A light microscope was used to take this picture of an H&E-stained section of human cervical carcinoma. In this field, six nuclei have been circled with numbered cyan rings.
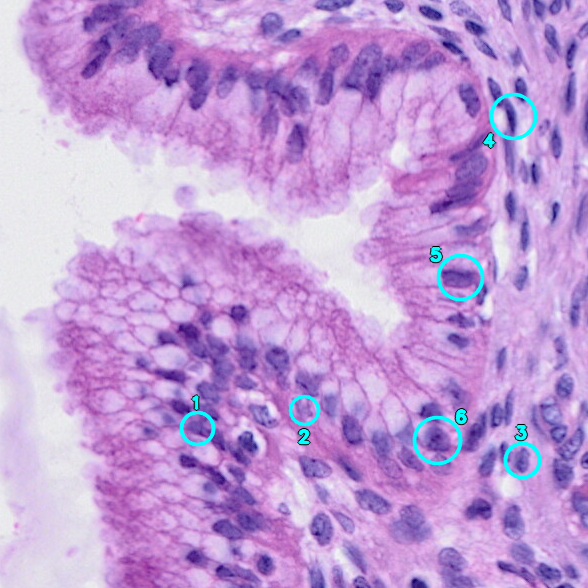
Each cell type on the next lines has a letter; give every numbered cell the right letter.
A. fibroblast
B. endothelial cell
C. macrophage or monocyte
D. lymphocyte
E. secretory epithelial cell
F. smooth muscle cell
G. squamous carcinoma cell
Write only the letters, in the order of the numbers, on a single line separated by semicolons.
E; E; A; A; E; E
